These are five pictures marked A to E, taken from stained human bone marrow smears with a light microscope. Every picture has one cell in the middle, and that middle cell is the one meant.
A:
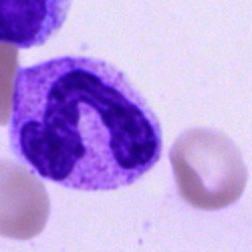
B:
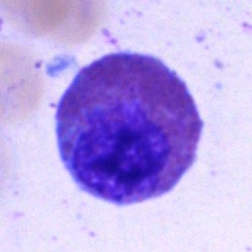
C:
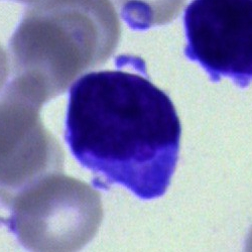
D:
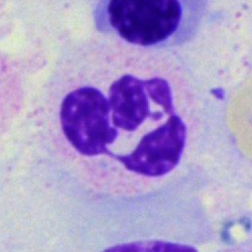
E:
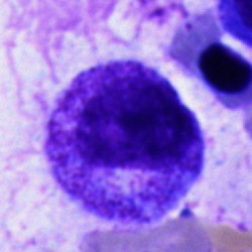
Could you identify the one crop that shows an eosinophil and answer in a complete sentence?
Identified crop: B, the one that shows an eosinophil.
